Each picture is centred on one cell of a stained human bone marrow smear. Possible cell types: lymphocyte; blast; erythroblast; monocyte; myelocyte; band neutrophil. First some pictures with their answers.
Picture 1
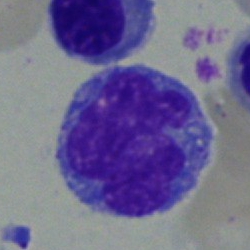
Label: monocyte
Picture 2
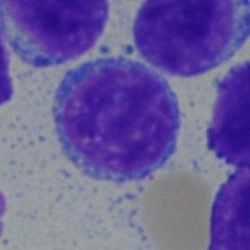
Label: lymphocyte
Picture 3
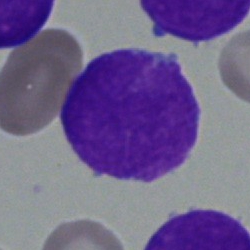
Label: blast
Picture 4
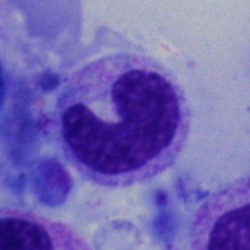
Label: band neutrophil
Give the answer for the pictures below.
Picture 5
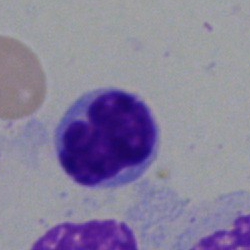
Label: lymphocyte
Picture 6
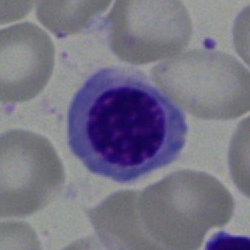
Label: erythroblast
